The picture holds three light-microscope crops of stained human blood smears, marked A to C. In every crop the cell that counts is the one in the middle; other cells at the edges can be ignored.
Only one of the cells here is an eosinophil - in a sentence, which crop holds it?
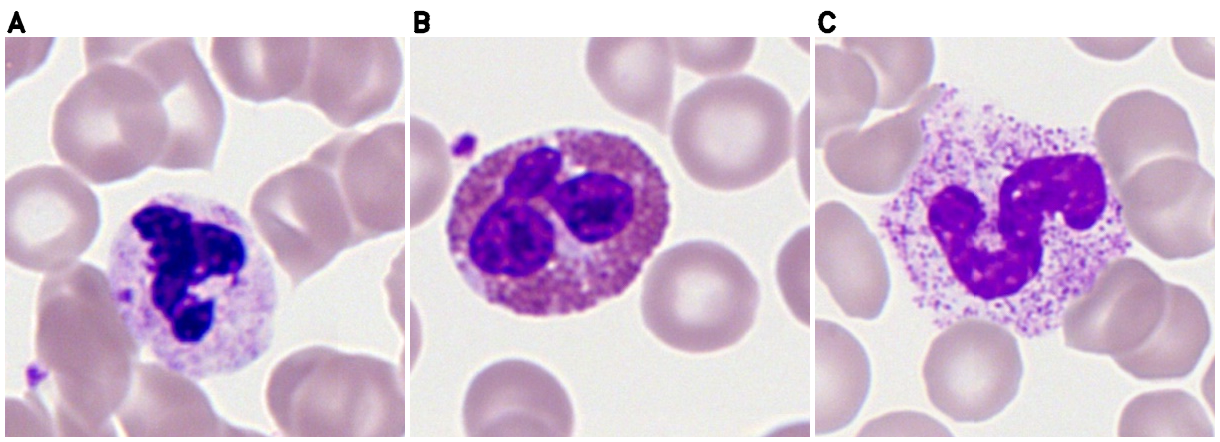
Crop B is the crop featuring an eosinophil at its center.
